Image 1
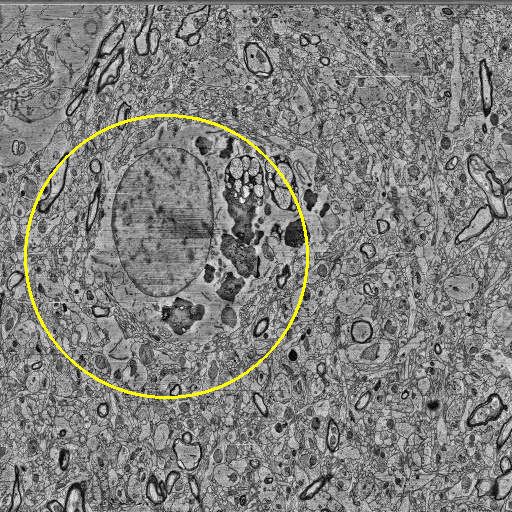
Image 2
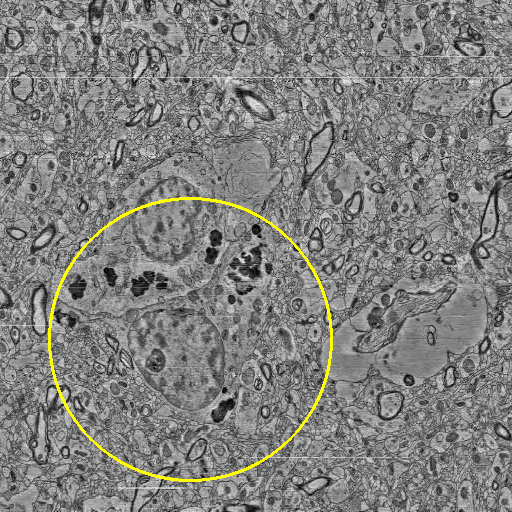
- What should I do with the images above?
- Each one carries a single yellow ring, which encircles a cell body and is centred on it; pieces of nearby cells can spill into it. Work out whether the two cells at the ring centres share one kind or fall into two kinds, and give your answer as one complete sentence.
The ring-centre cells of Image 1 and Image 2 fall into two kinds.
